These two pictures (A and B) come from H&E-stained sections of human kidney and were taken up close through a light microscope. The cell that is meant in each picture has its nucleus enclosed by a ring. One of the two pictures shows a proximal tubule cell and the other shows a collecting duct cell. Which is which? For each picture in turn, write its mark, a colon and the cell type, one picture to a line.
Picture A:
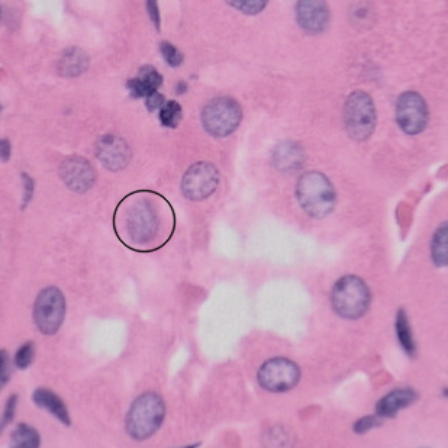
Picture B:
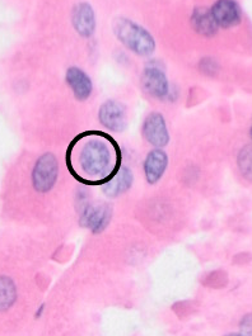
A: proximal tubule cell
B: collecting duct cell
